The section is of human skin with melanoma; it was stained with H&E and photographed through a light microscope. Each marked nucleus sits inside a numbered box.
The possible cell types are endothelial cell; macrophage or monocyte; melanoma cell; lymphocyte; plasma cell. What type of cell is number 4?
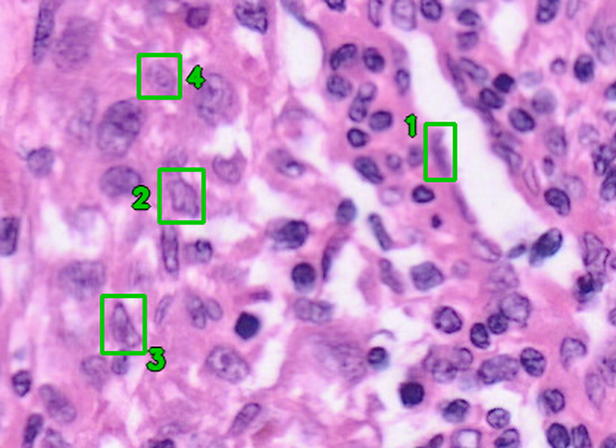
melanoma cell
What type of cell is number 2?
melanoma cell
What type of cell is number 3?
melanoma cell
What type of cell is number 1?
endothelial cell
